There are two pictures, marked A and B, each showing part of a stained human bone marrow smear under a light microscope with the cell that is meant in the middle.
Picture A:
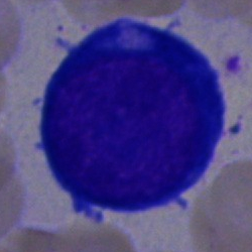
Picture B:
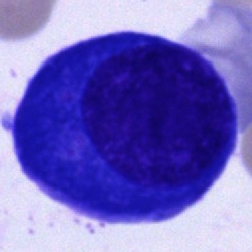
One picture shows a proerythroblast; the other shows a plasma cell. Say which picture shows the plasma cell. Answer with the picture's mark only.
B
